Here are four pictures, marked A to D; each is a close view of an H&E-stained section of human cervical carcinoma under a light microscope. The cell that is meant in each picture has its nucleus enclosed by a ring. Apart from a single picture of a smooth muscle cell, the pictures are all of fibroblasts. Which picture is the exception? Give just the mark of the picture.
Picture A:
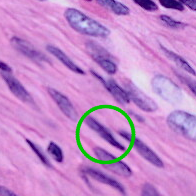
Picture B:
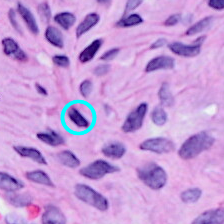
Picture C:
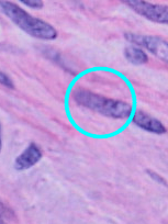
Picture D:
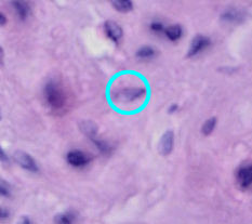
C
